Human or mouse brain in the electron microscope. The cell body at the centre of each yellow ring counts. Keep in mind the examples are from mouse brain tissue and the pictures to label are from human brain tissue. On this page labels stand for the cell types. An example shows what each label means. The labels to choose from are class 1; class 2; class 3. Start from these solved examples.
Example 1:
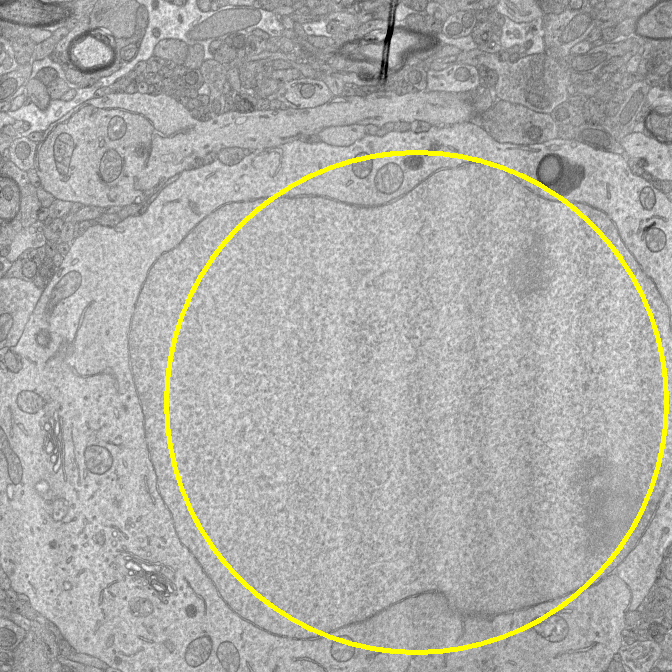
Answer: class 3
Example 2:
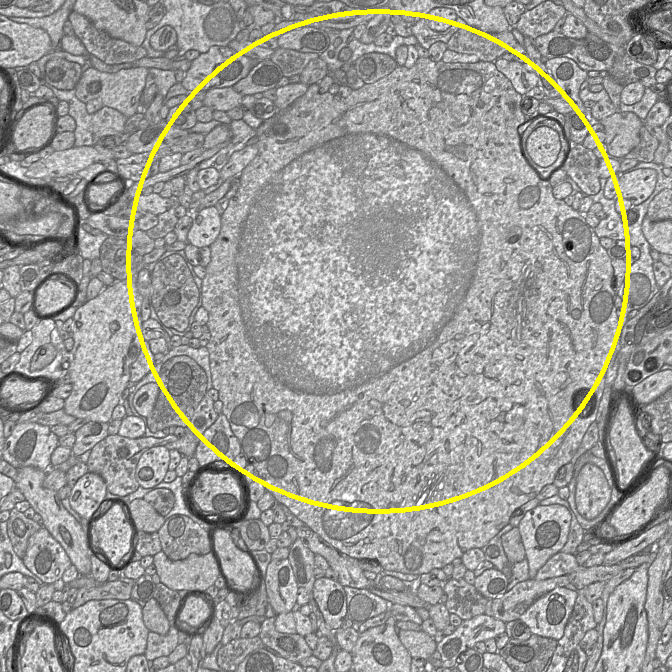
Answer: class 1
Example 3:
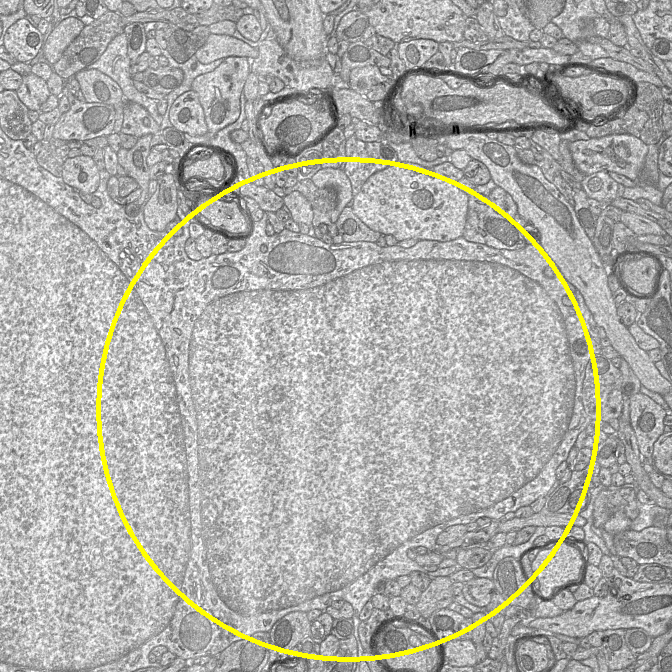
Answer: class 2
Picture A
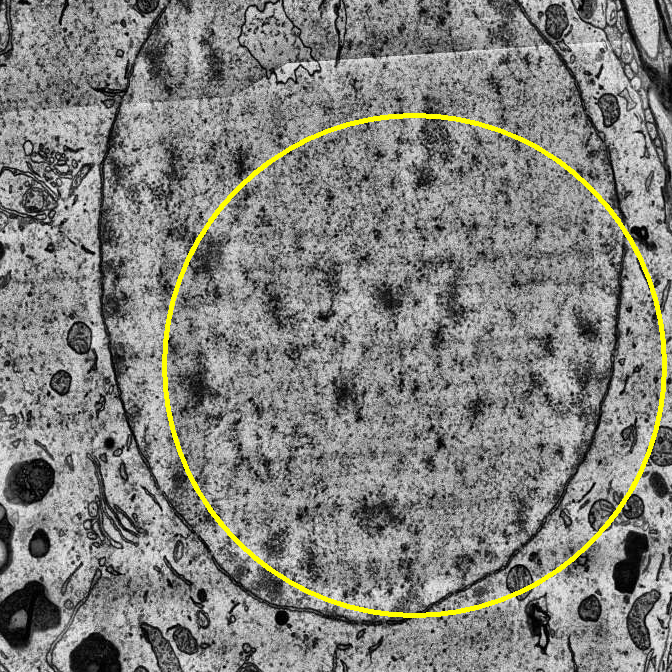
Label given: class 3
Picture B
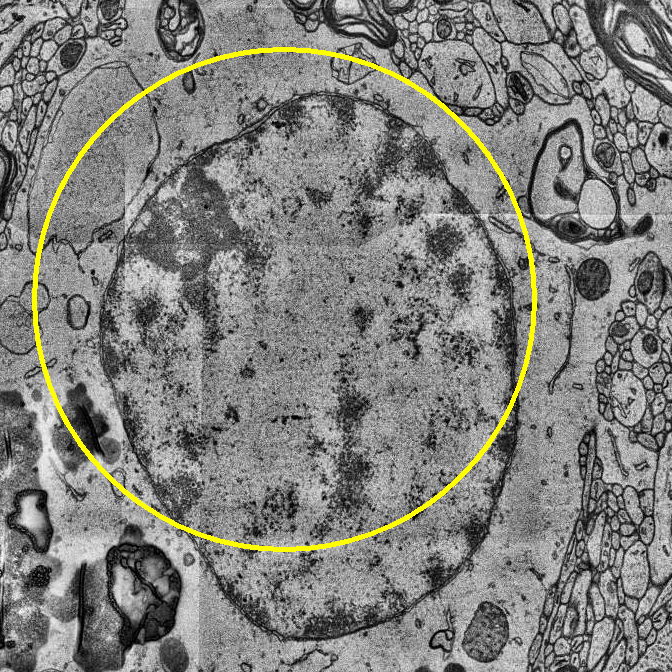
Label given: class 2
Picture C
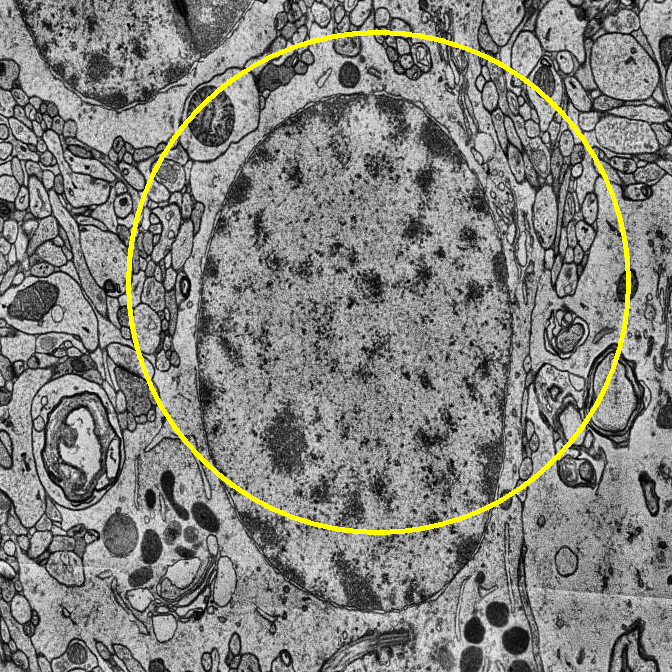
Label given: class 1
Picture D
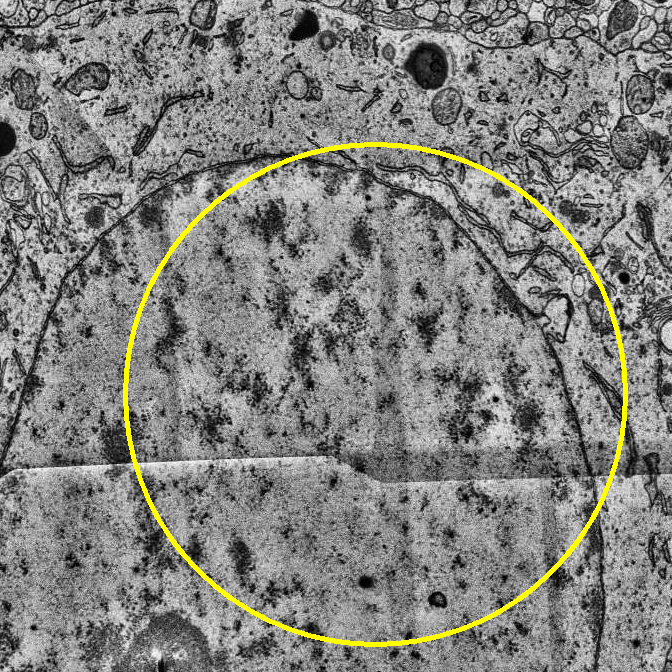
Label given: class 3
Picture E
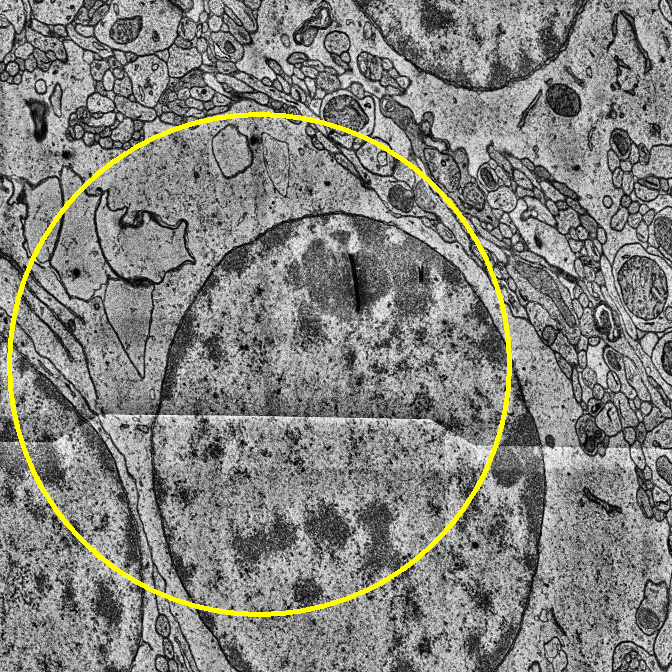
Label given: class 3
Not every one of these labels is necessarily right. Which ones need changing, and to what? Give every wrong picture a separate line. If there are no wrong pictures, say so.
Wrong: C (class 1); correct: class 2
Wrong: E (class 3); correct: class 2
